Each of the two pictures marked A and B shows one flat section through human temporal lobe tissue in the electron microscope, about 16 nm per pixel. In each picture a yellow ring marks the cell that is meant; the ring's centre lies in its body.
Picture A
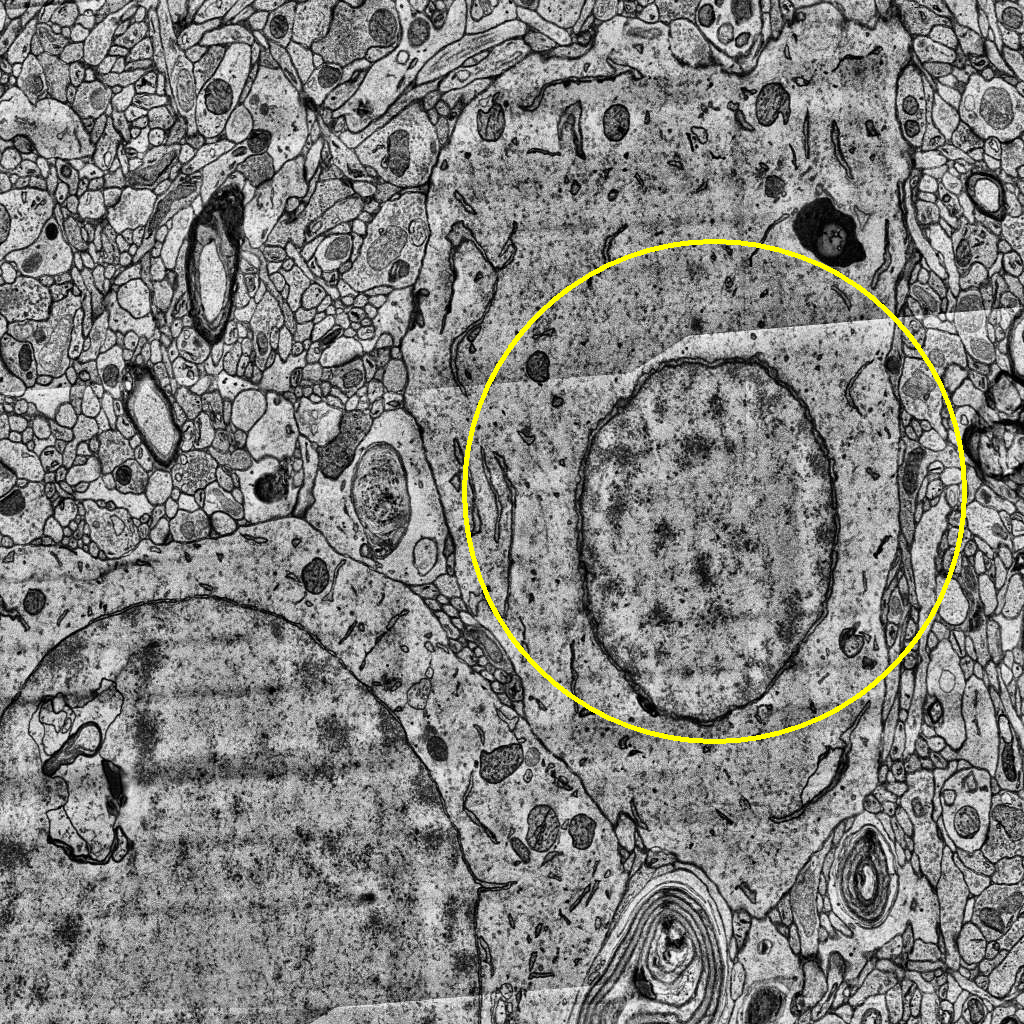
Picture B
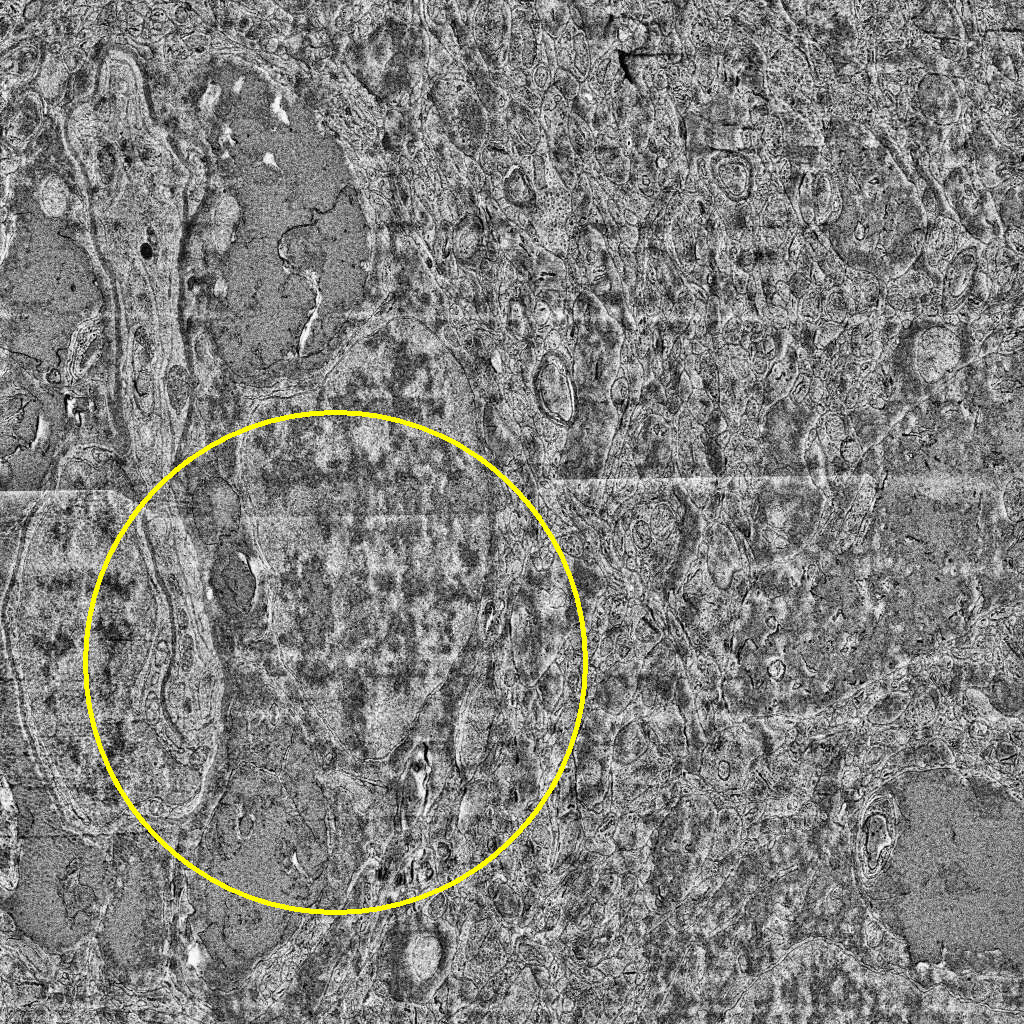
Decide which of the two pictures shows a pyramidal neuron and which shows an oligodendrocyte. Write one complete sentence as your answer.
It is picture A that shows a pyramidal neuron, and picture B that shows an oligodendrocyte.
